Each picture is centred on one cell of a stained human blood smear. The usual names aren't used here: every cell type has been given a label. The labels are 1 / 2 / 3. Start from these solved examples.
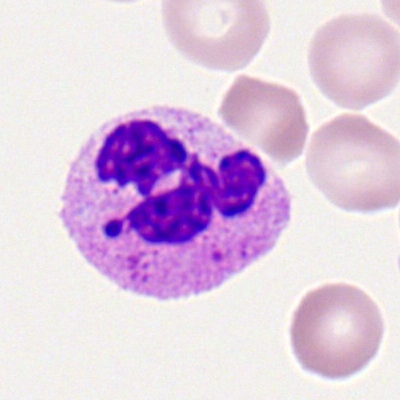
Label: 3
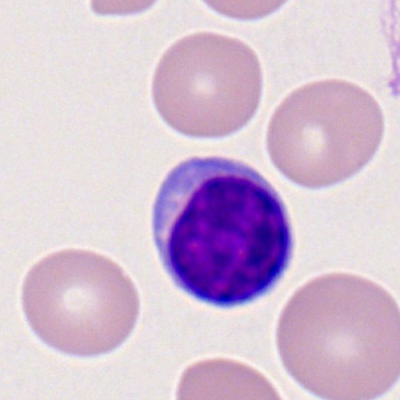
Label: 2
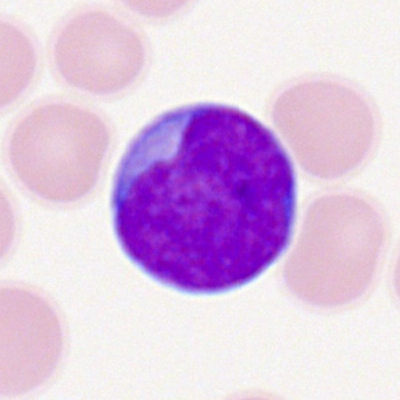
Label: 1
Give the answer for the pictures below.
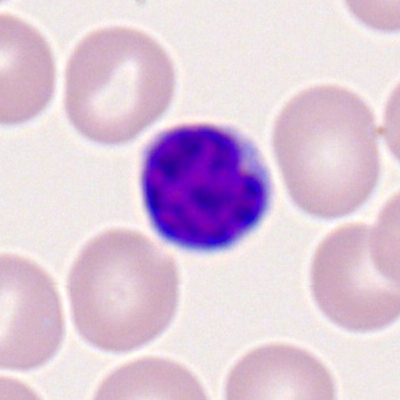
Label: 2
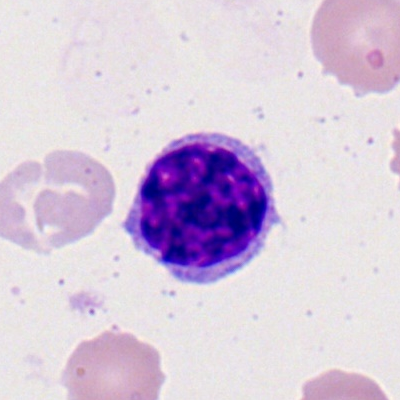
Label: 2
